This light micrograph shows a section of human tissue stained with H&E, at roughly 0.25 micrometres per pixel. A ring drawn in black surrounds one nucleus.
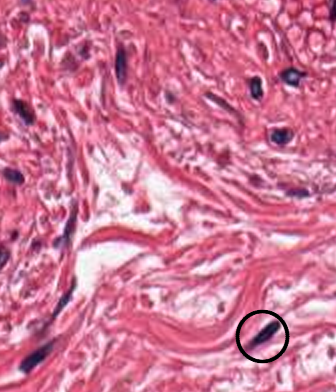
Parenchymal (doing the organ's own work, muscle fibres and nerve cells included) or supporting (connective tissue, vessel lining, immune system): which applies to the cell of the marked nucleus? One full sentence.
In the section shown, the marked nucleus belongs to a supporting cell.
